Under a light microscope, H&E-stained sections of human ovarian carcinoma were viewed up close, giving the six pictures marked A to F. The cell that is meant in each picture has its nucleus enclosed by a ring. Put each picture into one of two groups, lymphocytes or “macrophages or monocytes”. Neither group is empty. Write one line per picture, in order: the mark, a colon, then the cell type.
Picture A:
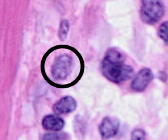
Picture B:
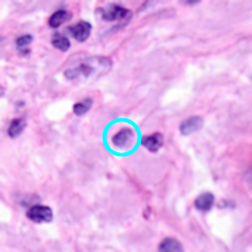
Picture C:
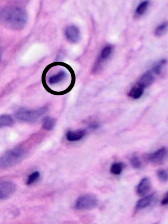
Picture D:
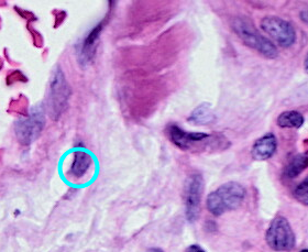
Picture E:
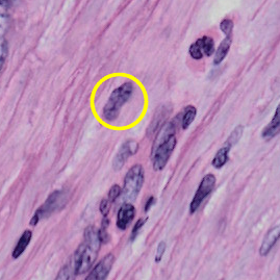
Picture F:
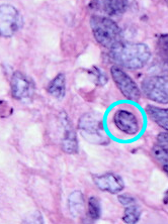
A: macrophage or monocyte
B: lymphocyte
C: lymphocyte
D: macrophage or monocyte
E: macrophage or monocyte
F: macrophage or monocyte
